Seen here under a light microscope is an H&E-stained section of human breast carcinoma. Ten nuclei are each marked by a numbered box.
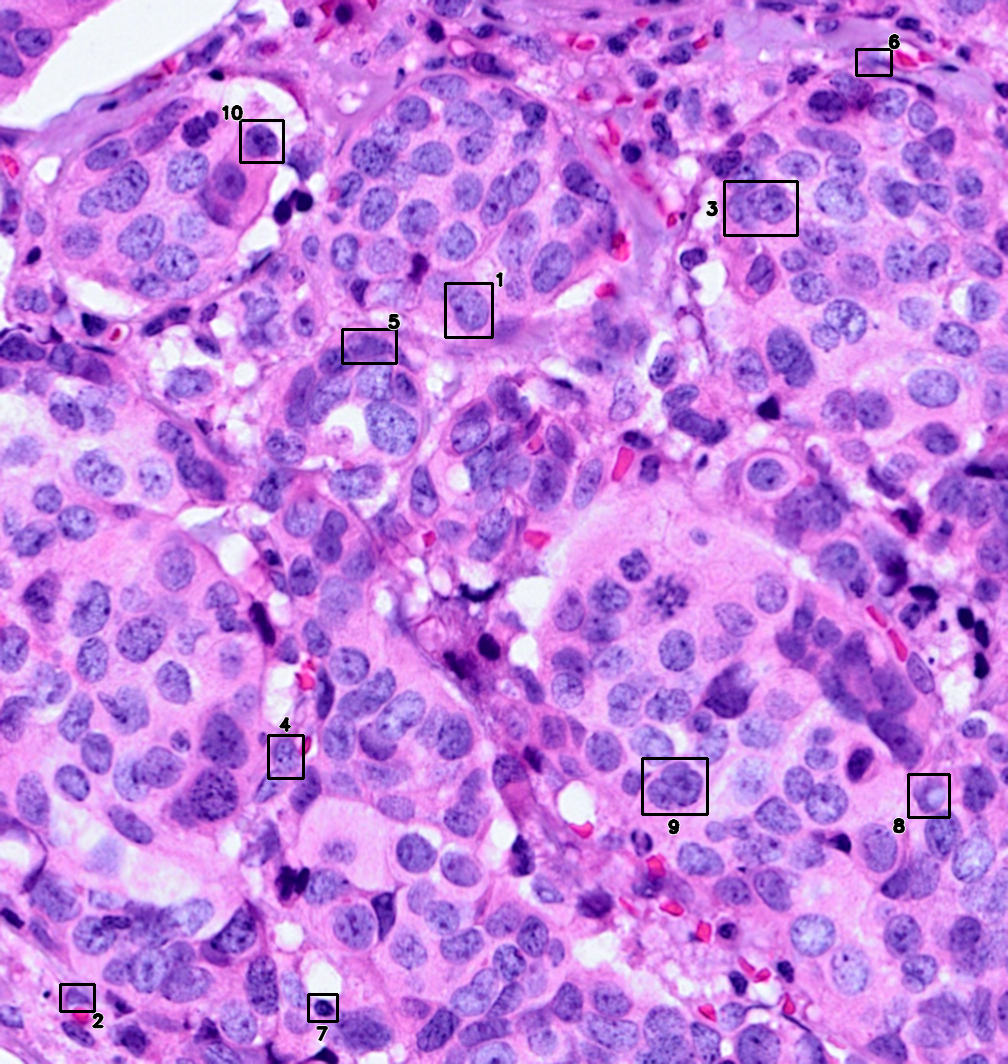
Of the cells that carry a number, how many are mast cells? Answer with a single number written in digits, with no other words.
0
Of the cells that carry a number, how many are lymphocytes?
1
